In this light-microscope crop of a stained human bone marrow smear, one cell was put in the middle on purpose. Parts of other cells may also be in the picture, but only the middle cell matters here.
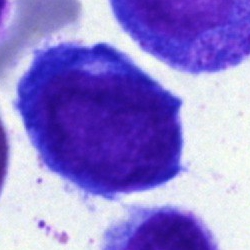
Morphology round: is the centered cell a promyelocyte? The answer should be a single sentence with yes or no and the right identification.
No, rather than being a promyelocyte, the central cell is a proerythroblast.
